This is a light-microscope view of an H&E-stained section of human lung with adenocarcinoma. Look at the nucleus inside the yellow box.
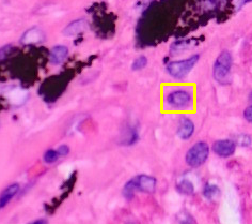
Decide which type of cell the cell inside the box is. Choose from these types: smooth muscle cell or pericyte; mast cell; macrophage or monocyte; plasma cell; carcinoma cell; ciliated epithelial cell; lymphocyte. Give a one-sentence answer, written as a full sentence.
In this preparation, the cell inside the box is a mast cell.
